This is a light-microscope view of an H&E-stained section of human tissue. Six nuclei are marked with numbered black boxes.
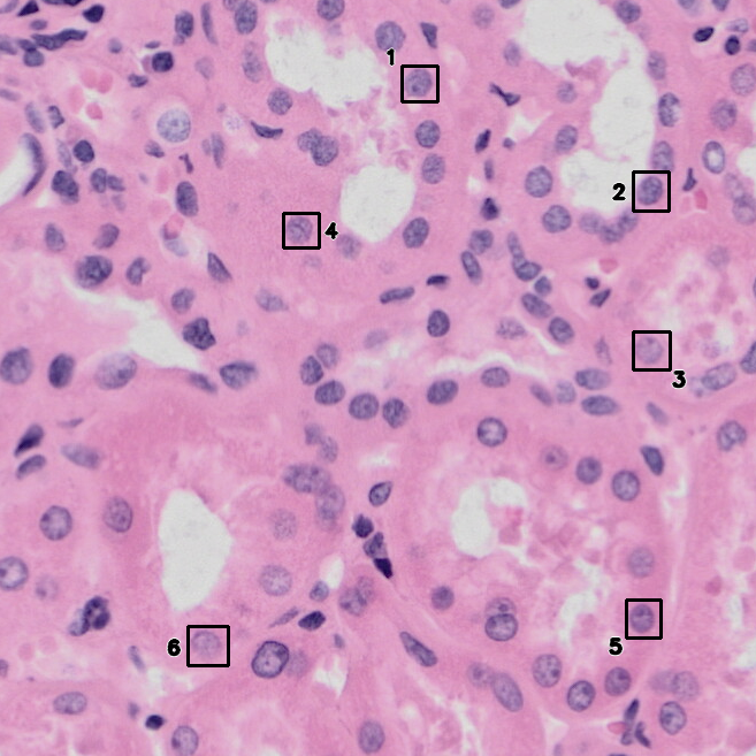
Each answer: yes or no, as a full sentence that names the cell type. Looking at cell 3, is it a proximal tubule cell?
Yes, it checks out; the cell labelled 3 is a proximal tubule cell.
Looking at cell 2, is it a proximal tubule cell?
No, it is a loop of Henle or distal tubule cell, not a proximal tubule cell, that number 2 marks.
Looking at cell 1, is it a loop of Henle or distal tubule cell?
Yes, the cell shown as number 1 is a loop of Henle or distal tubule cell.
